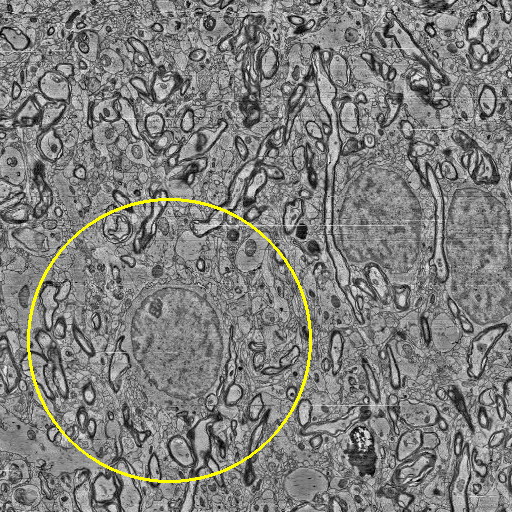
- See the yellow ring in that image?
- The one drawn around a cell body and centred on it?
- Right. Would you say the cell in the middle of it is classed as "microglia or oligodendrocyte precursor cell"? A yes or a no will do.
no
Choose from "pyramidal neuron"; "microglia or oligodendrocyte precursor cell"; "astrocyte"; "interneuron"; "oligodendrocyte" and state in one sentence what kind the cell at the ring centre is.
In this picture, the ring is centred on an oligodendrocyte.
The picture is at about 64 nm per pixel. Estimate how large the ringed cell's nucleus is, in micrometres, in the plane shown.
The nucleus works out at approximately 8 by 6 micrometres in this plane.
